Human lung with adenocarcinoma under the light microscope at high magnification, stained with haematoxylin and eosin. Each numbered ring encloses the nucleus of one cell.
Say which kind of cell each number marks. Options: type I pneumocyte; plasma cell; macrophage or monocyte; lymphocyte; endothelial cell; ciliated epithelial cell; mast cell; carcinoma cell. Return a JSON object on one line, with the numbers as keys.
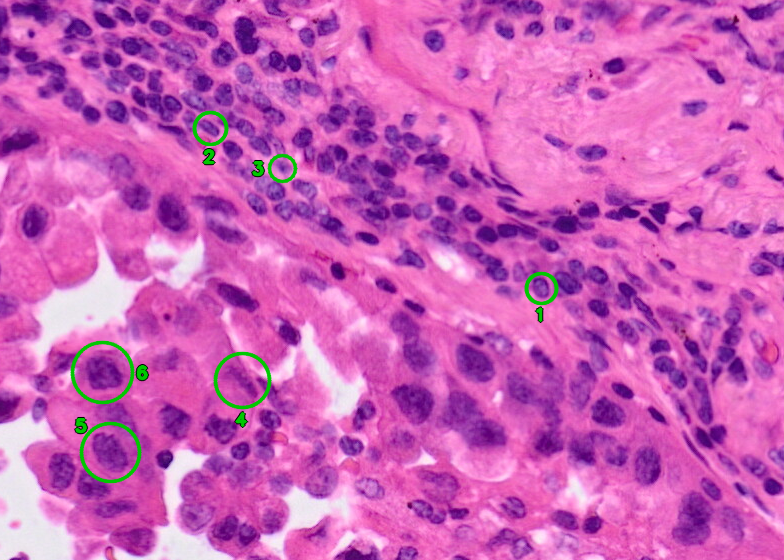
{"1": "lymphocyte", "2": "lymphocyte", "3": "lymphocyte", "4": "carcinoma cell", "5": "carcinoma cell", "6": "carcinoma cell"}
